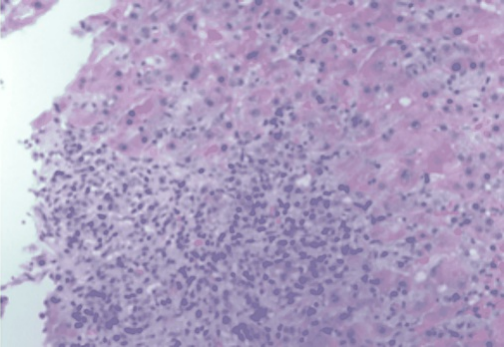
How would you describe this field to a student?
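This is liver tissue in which a dense collection of inflammatory cells sits among the liver cells. The liver cells are large and polygonal, with pink cytoplasm and round central nuclei, and they fill the upper and right parts of the field. In the lower left, many small cells crowd together, each with a dark purple round nucleus and little cytoplasm. These are mostly lymphocytes, and the crowded cells spill into the surrounding liver cells at the edge of the cluster.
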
